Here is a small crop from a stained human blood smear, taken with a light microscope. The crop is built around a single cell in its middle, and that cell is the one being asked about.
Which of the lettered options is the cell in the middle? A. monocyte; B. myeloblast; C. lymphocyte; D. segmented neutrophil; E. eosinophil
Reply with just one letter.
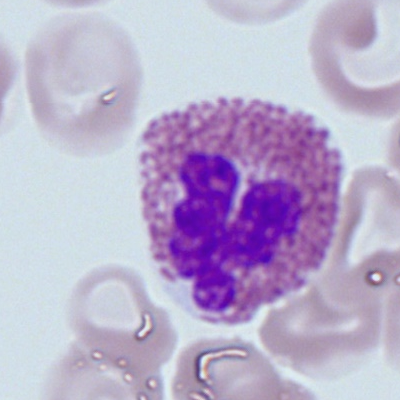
E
